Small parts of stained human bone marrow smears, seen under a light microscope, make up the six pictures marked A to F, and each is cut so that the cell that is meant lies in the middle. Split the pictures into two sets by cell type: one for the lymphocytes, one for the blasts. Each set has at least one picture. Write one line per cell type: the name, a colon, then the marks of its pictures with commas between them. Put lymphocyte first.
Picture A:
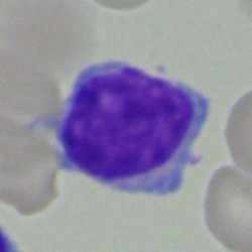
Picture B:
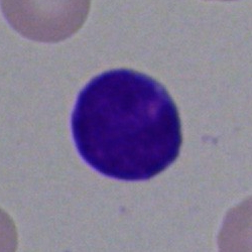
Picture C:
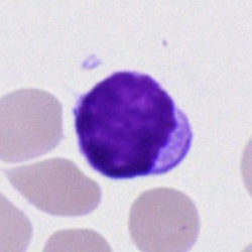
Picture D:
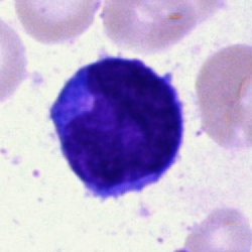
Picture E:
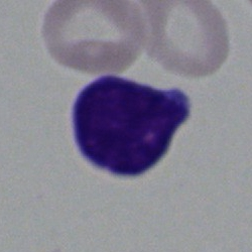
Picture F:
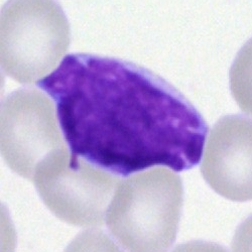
lymphocyte: A, C
blast: B, D, E, F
